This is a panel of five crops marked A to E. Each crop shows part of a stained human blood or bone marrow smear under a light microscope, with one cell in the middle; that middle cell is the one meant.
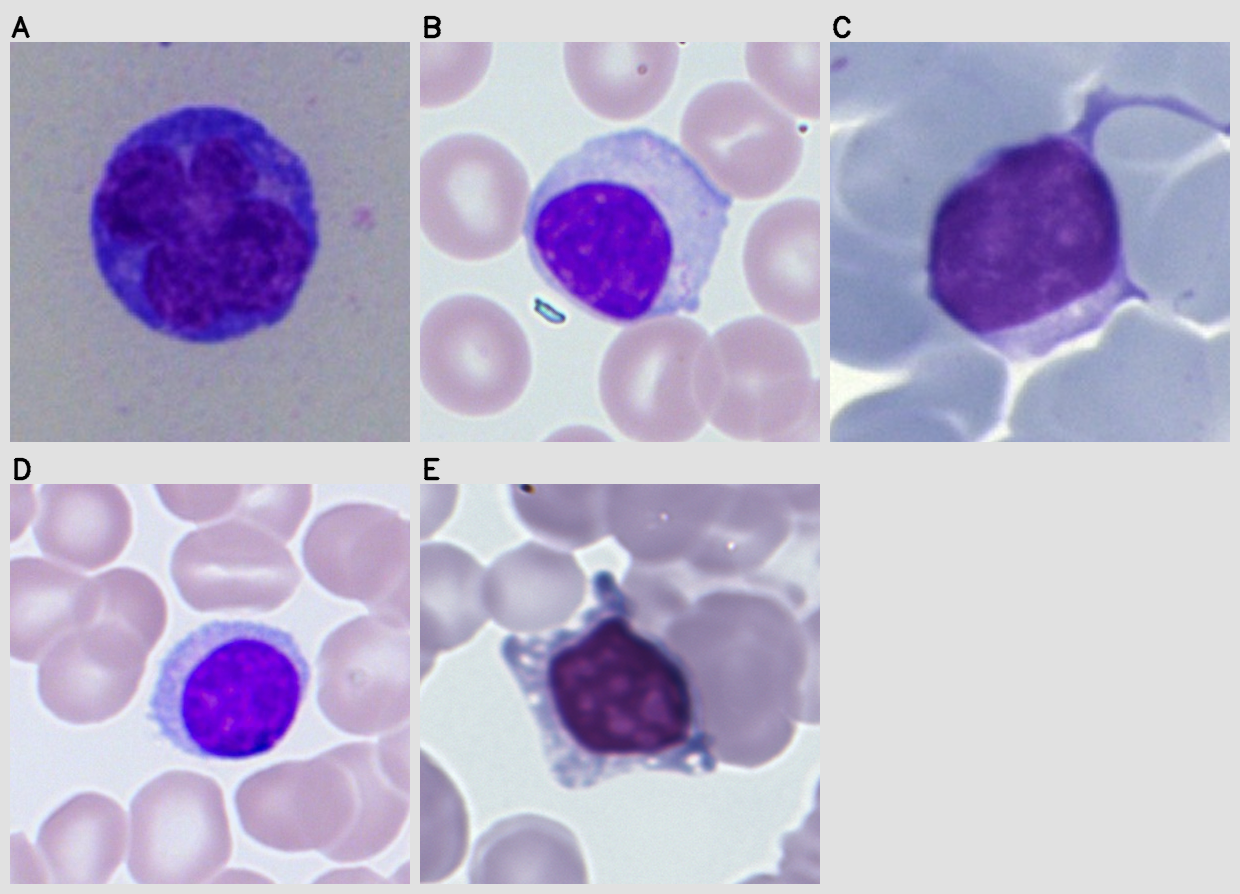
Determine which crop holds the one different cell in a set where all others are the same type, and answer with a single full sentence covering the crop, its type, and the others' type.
The exception is crop A: it is a blast, and the others are all lymphocytes.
